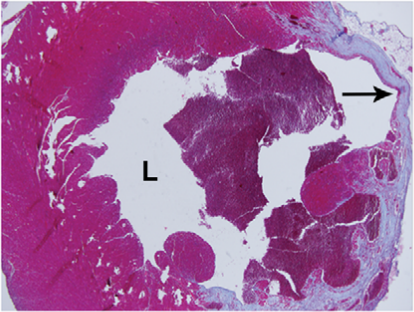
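On one side the wall becomes very thin and pale bluish instead of red, where muscle has been replaced by scar. Dark red material fills much of the lumen.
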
